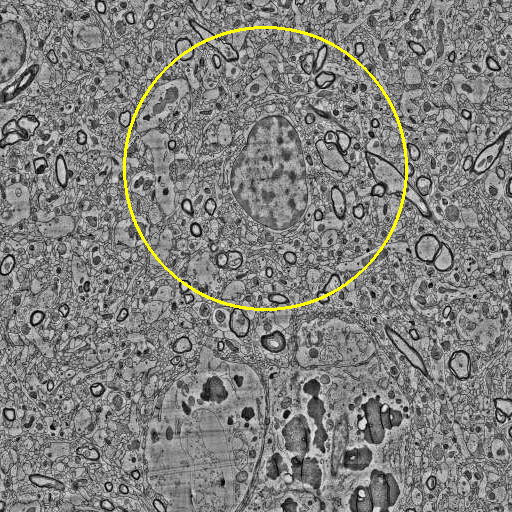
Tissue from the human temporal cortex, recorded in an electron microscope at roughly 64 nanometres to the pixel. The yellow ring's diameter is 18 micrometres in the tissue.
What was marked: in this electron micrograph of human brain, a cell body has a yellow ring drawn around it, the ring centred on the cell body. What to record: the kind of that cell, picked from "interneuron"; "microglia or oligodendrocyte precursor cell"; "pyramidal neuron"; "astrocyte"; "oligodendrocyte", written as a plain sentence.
The centred cell is a microglial cell or oligodendrocyte precursor cell.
